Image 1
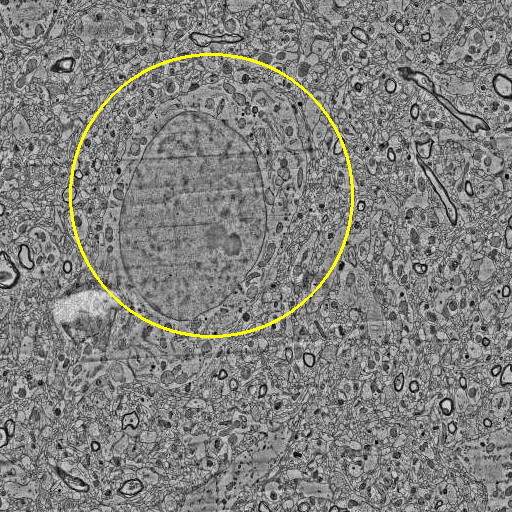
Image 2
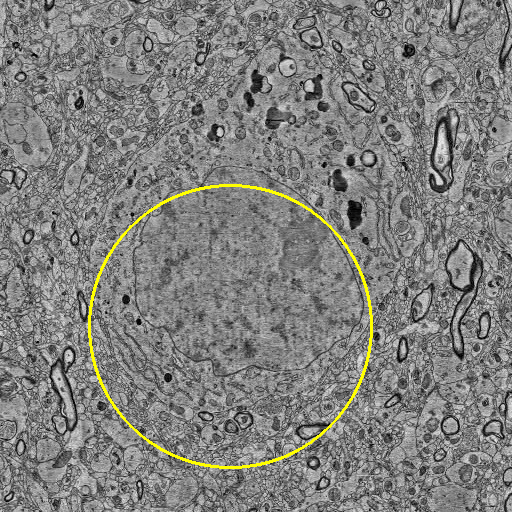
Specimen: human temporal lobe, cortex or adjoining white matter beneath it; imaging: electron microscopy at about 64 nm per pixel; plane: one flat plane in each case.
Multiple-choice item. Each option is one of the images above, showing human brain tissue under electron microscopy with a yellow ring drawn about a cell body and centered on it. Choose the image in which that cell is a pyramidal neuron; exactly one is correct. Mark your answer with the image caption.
Image 2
